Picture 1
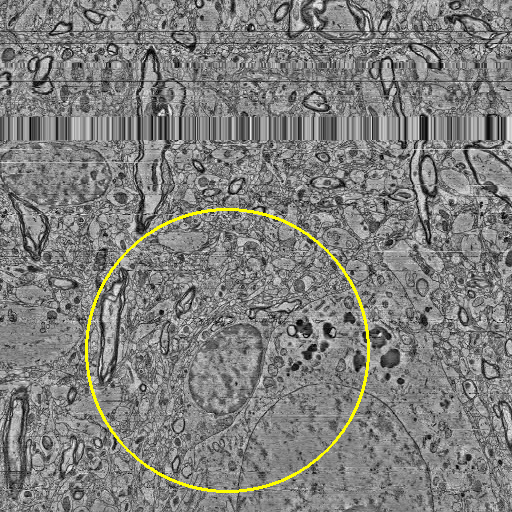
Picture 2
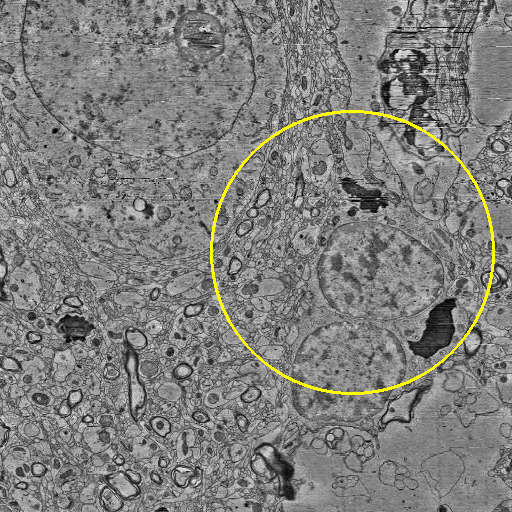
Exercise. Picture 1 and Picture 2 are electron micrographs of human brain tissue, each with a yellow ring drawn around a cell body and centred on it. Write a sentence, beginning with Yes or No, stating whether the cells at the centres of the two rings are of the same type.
Yes, the cells at the centres of both rings are of the same type.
